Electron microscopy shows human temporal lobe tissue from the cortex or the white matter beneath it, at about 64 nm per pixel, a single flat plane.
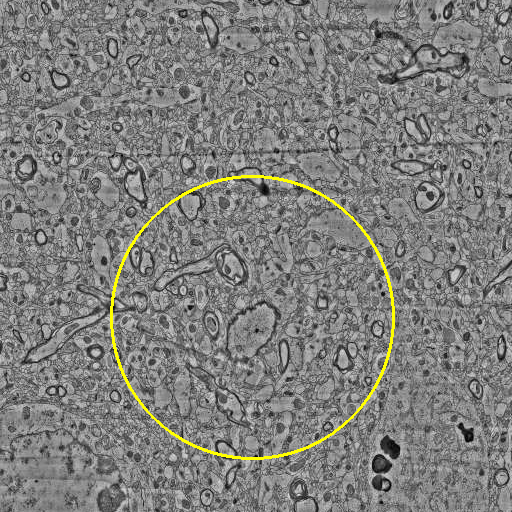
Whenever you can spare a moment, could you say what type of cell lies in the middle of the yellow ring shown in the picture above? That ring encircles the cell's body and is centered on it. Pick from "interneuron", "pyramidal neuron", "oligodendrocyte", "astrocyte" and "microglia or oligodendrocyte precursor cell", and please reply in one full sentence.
The cell whose body sits at the middle of the yellow ring is a pyramidal neuron.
